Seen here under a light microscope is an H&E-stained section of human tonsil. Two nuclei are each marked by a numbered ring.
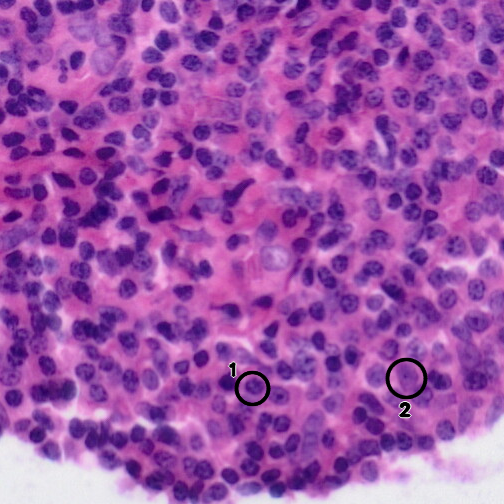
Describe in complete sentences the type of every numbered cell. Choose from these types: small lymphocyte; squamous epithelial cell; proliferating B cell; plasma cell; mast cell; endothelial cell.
Cell 1 is a plasma cell and cell 2 is a squamous epithelial cell.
